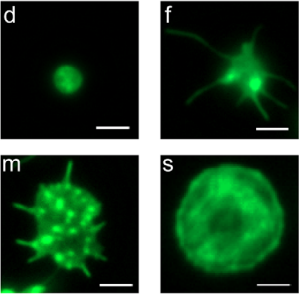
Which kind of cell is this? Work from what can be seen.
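Single small cells without a visible nucleus. One cell is a small smooth round disc. One cell has long thin spikes radiating from a bright centre. One cell is a flattened round sheet with a denser rim.
Conclusion: platelets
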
